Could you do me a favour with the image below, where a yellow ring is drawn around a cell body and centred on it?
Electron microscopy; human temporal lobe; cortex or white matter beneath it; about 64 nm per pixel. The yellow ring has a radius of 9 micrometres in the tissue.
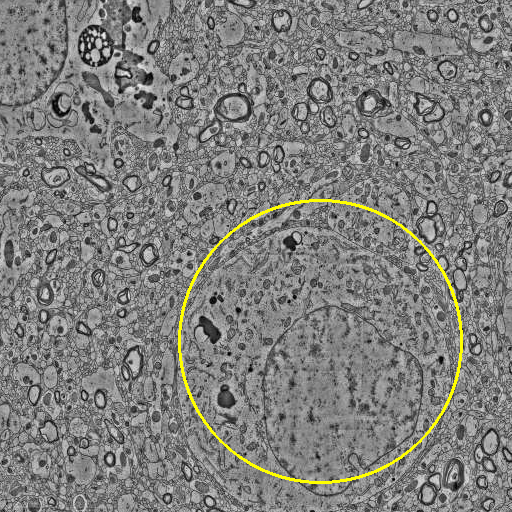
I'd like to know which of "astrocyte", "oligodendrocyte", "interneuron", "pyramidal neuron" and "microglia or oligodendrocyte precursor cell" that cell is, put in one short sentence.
The cell at the ring's centre is a pyramidal neuron.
